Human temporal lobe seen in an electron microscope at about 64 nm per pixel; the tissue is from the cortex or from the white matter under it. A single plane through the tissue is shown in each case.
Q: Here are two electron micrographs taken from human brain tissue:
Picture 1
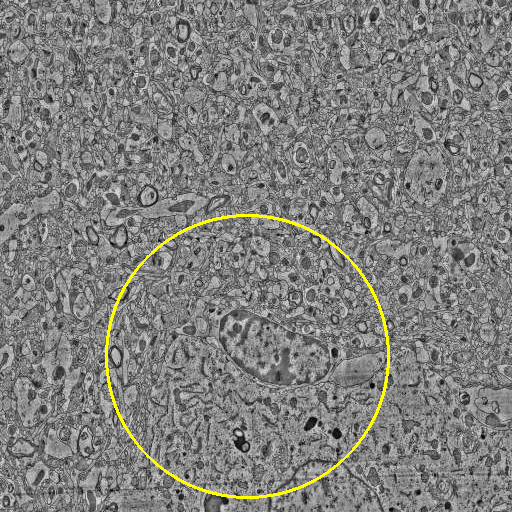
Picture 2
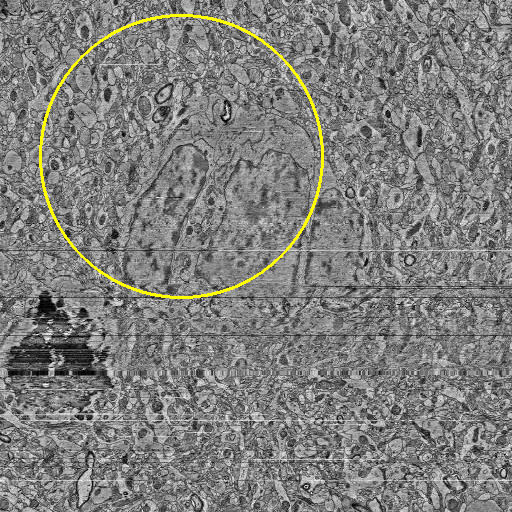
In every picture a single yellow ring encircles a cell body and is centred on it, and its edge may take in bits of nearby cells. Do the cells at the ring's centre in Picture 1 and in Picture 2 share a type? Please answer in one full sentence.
Yes, the cells at the ring's centre in Picture 1 and Picture 2 share a type.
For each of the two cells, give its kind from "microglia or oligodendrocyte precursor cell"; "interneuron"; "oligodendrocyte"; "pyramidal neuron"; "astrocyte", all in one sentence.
The cell at the ring centre is a microglial cell or oligodendrocyte precursor cell in both pictures.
